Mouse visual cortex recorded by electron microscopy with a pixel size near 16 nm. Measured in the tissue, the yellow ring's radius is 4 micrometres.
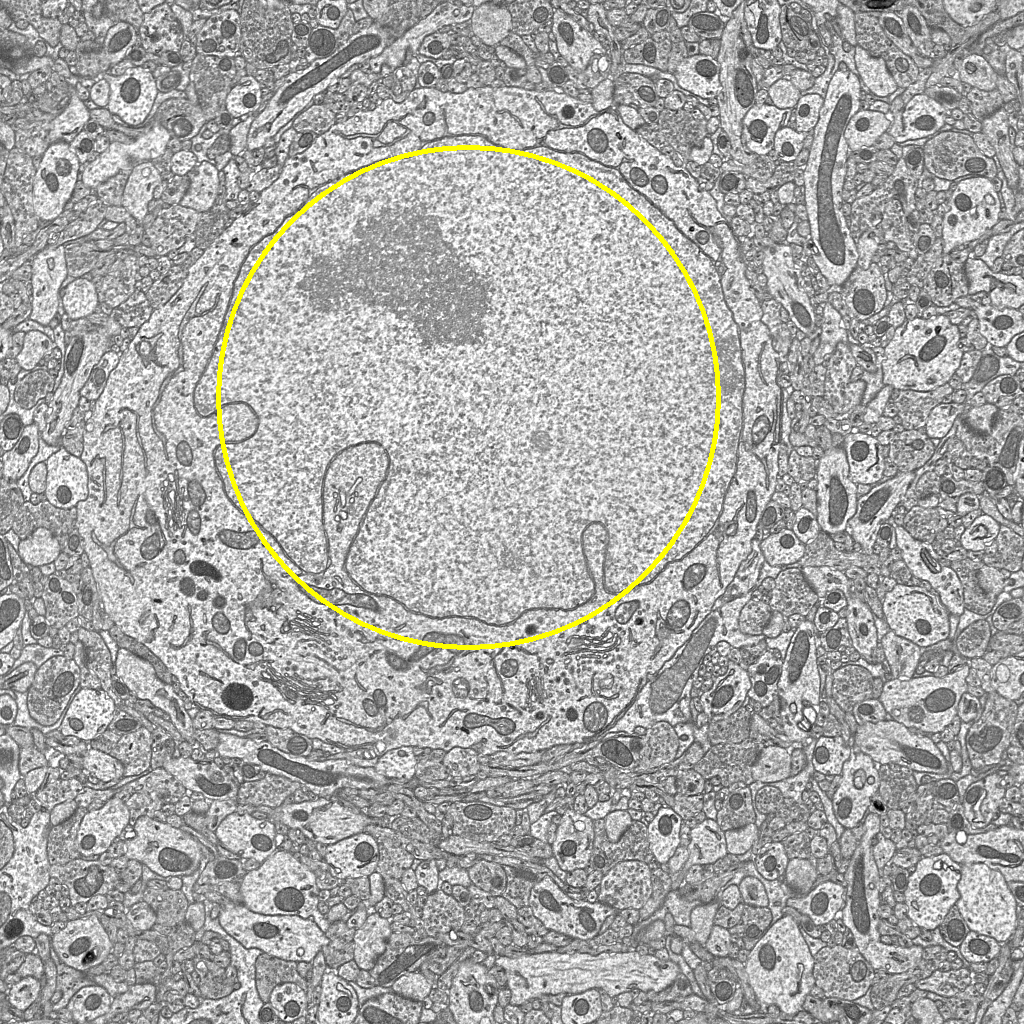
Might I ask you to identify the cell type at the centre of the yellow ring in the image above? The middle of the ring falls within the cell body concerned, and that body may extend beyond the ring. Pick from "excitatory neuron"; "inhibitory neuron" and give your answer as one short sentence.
The centre of the ring falls on an inhibitory neuron.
